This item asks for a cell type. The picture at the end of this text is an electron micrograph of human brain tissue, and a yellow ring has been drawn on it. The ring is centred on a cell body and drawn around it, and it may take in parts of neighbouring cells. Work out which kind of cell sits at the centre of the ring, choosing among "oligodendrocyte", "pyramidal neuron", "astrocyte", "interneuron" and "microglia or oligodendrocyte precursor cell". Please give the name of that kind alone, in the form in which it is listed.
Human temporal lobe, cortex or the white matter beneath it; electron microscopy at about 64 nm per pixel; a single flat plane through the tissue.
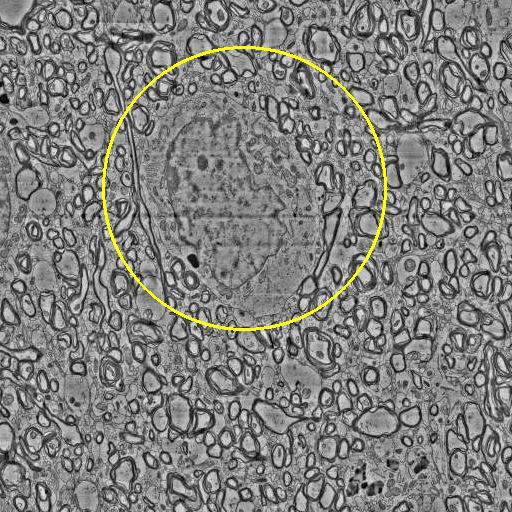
interneuron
